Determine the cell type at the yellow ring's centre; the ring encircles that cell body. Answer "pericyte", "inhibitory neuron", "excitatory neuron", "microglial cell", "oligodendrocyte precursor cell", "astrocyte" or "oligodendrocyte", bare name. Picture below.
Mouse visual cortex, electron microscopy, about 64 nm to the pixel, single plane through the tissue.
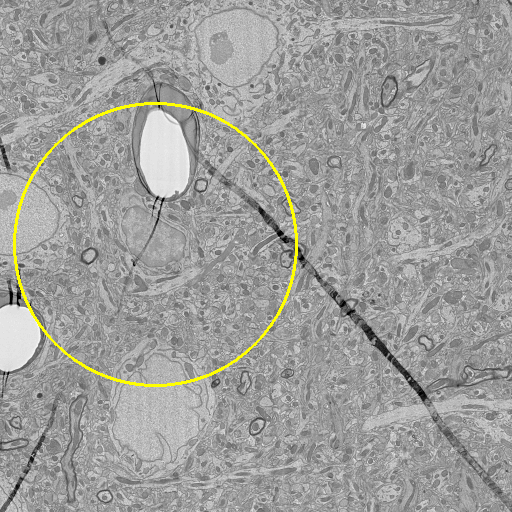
microglial cell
